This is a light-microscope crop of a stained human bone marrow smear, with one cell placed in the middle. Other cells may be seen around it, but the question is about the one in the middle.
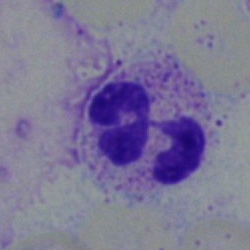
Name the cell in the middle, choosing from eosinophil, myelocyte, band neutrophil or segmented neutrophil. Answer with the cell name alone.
segmented neutrophil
